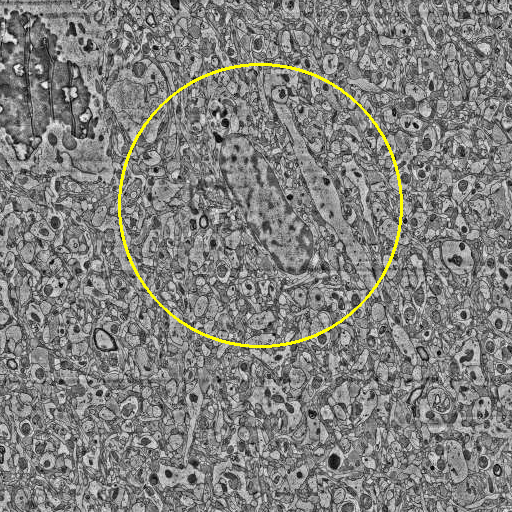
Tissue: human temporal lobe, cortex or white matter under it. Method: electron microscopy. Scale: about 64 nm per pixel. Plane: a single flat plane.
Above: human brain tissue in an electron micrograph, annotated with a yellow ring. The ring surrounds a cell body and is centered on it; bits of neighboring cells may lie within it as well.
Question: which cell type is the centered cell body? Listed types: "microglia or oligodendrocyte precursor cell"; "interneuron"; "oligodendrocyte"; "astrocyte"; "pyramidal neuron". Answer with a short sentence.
The centered cell body is a microglial cell or oligodendrocyte precursor cell.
